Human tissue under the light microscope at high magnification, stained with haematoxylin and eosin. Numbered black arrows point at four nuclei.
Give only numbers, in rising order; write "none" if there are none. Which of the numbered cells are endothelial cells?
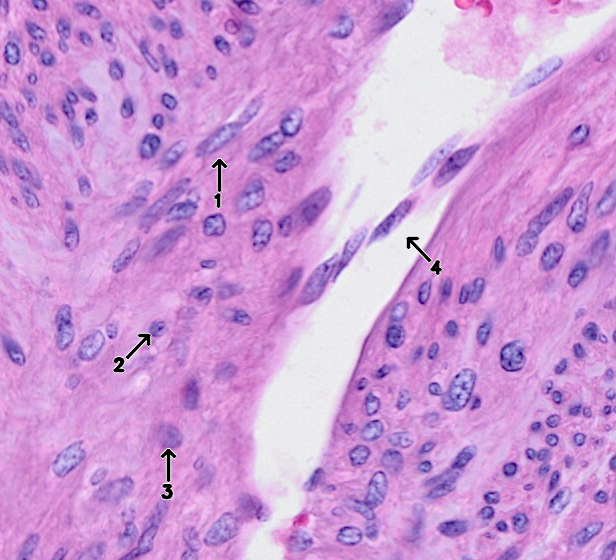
4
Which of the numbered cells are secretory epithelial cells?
none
